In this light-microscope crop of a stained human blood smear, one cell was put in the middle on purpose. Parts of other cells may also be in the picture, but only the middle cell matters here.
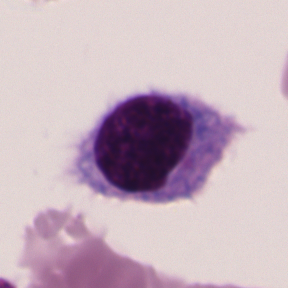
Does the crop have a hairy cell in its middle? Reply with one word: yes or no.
yes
